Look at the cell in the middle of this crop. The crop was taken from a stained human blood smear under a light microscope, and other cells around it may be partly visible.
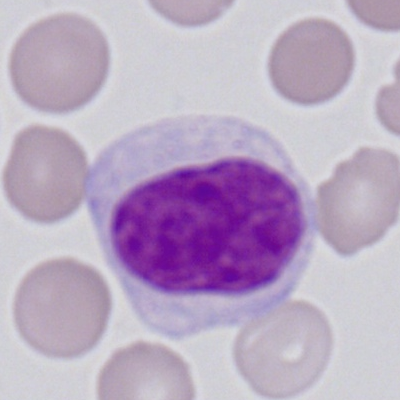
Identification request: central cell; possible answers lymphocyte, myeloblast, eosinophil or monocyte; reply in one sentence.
The cell the crop is centered on is a lymphocyte.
